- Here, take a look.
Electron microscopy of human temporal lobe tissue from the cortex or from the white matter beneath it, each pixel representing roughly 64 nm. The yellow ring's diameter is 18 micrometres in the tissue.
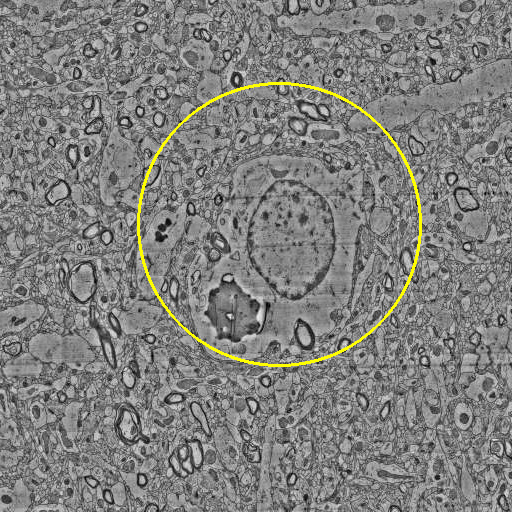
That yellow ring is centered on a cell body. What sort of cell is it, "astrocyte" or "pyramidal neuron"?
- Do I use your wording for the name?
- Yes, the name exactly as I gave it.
astrocyte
